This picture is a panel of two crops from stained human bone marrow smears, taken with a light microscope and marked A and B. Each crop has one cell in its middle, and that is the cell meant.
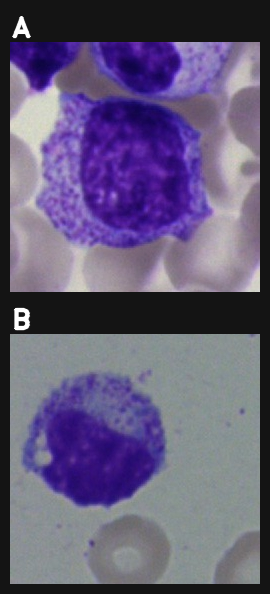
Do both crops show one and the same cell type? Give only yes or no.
yes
